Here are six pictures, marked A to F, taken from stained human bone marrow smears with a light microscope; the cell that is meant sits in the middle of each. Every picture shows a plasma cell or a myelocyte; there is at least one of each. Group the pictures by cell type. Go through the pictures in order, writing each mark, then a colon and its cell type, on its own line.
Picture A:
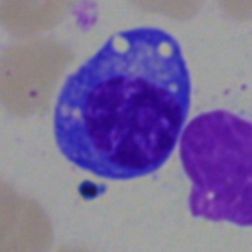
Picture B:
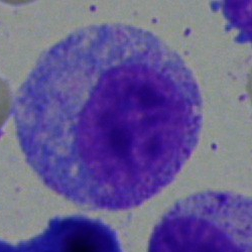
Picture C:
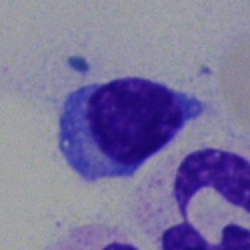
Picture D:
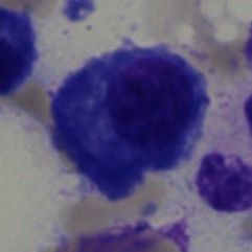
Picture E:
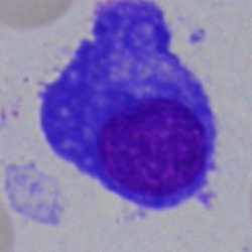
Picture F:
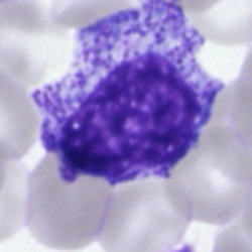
A: plasma cell
B: myelocyte
C: plasma cell
D: plasma cell
E: plasma cell
F: myelocyte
